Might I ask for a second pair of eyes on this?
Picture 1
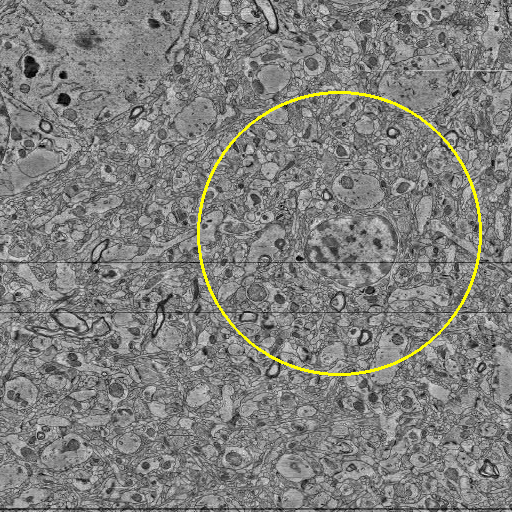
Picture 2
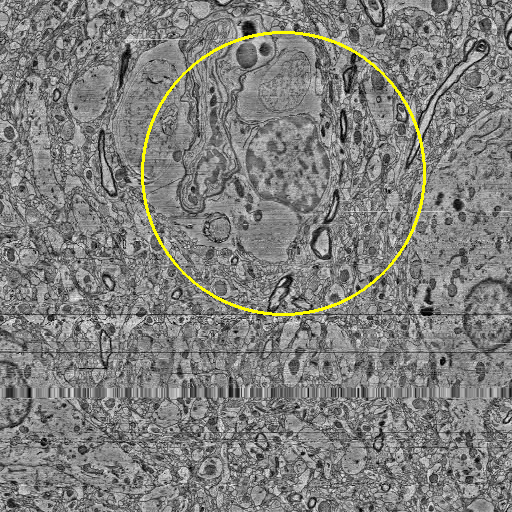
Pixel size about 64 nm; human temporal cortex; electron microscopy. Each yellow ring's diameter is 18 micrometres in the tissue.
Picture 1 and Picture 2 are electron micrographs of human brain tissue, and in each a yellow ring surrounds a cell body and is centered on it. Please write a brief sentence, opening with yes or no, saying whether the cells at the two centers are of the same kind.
Yes, the cells are of the same kind.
